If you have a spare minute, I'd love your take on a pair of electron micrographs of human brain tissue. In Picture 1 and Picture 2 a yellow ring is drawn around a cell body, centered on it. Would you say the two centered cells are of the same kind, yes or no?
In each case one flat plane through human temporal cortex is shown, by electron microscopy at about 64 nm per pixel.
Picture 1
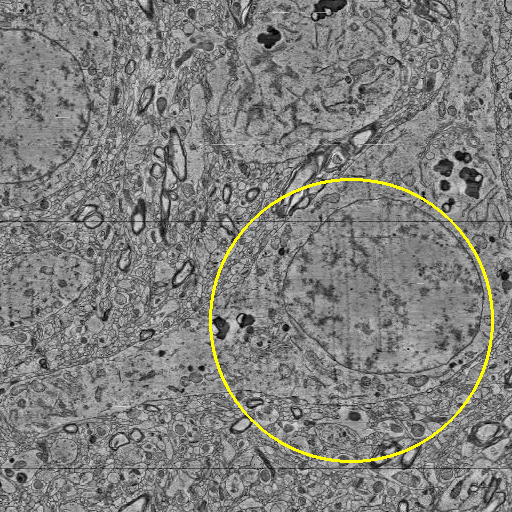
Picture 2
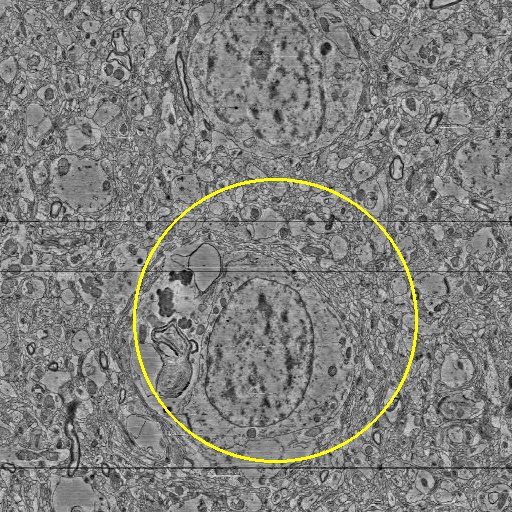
yes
